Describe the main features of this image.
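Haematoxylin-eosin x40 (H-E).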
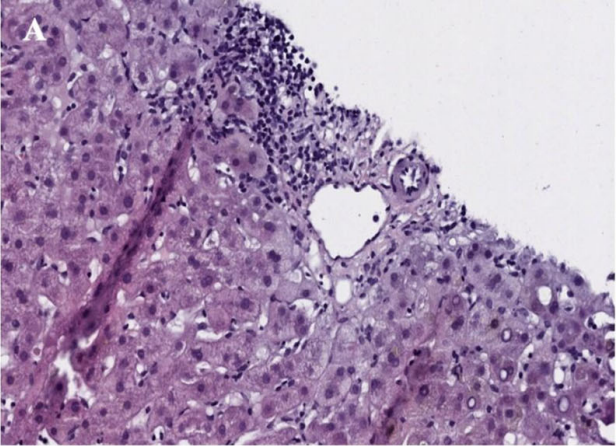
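Liver tissue with a portal space at its upper edge, surrounded by plates of polygonal hepatocytes with round central nuclei and pale pink cytoplasm. The portal space holds a thin-walled open portal vein branch and a small thick-walled hepatic artery branch, with many small dark round inflammatory cell nuclei crowded around them. No bile duct is seen in the portal space.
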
